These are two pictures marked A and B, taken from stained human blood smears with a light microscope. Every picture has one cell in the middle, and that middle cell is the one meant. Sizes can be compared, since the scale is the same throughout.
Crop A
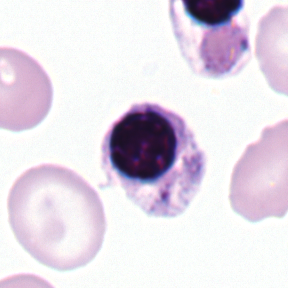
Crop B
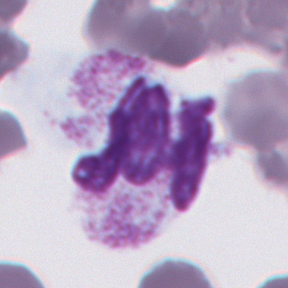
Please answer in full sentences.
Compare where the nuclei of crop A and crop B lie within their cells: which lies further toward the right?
It is the nucleus in crop B that lies further toward the right of its cell.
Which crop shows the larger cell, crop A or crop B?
It is the cell in crop B, about 2.5 times as large in area as the cell in crop A.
